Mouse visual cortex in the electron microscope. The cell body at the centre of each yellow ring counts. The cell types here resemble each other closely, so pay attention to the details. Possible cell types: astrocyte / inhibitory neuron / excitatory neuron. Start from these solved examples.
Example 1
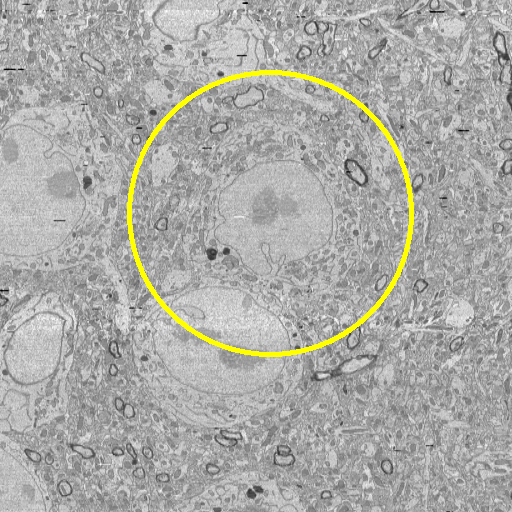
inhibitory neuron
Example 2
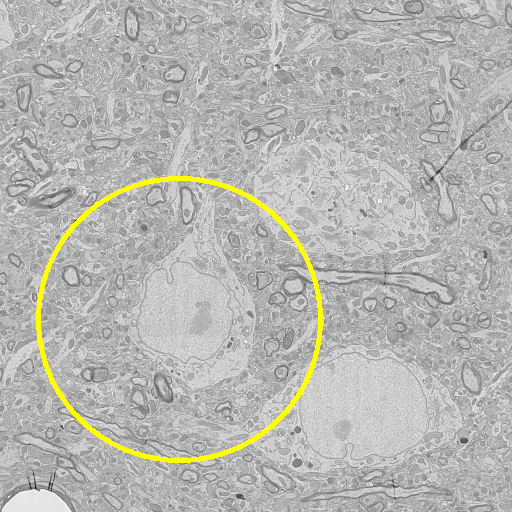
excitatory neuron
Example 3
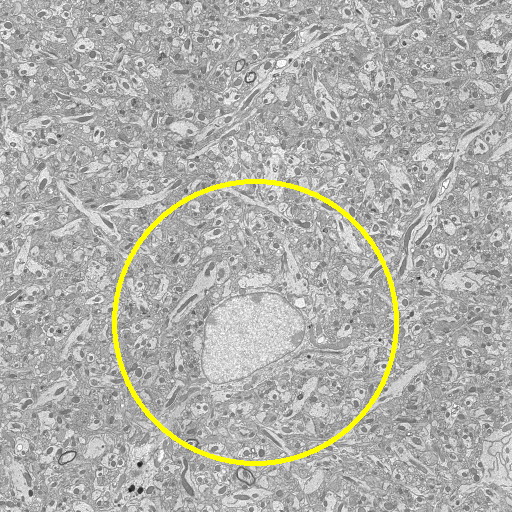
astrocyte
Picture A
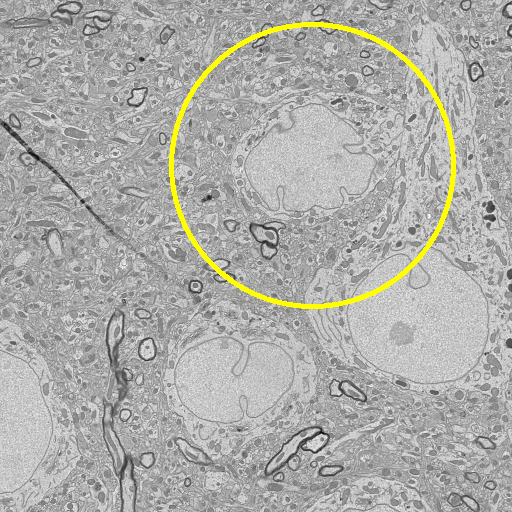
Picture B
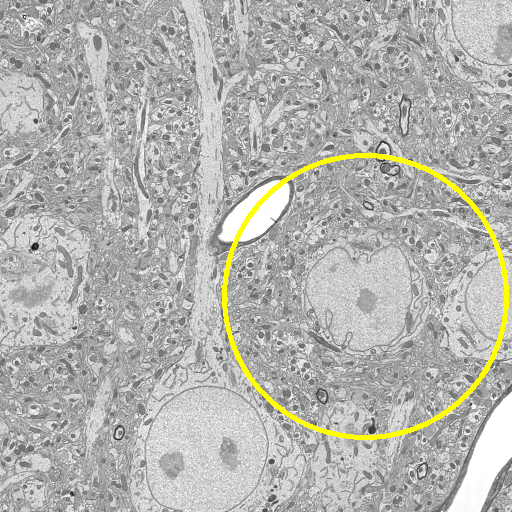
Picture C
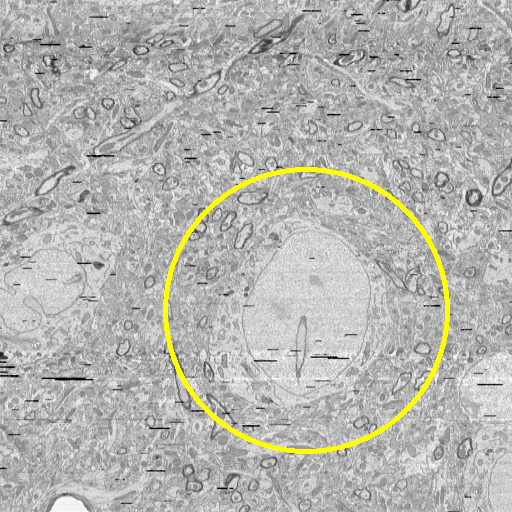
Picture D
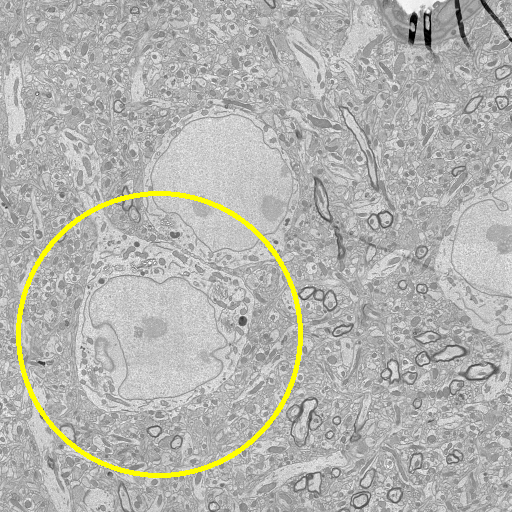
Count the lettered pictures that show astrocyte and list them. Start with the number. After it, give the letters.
0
